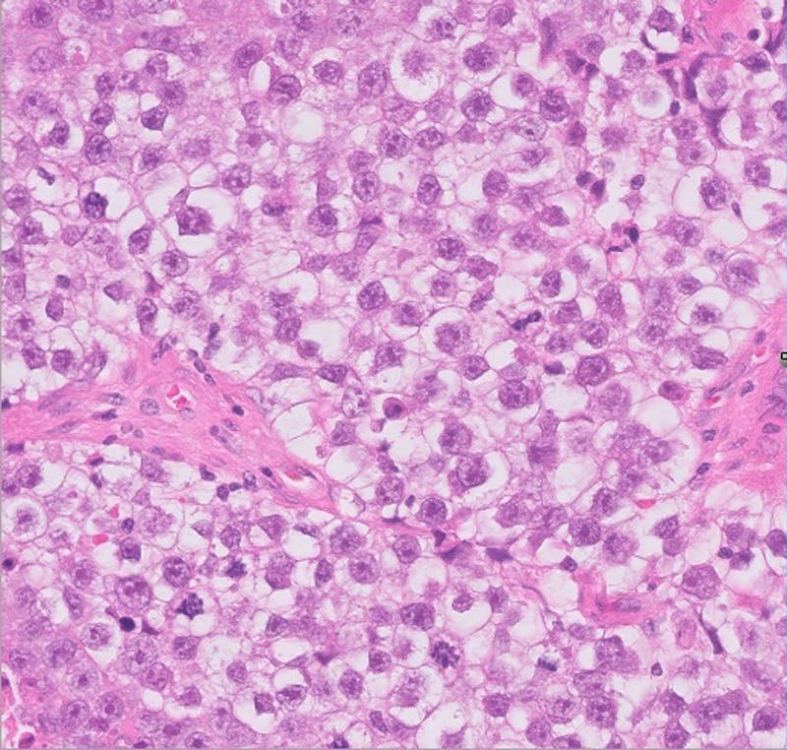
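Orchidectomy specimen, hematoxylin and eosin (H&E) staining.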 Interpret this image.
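Cell borders are sharp and the cytoplasm is clear to pale pink and vacuolated. Nuclei are large, round to slightly squared, centrally placed, with coarse chromatin and prominent nucleoli. Several mitotic figures are scattered among the tumor cells. Thin pink fibrous septa carrying small vessels with red blood cells divide the cell sheets.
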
